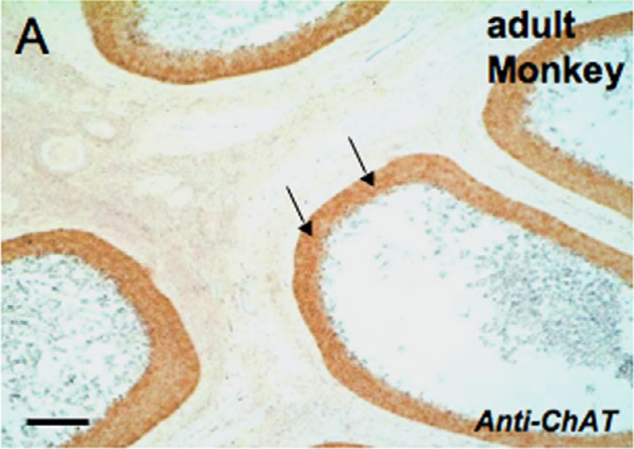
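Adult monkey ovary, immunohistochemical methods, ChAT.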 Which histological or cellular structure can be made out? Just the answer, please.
Large antral follicles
